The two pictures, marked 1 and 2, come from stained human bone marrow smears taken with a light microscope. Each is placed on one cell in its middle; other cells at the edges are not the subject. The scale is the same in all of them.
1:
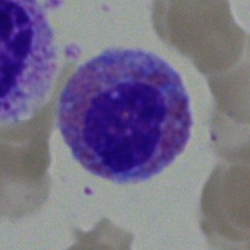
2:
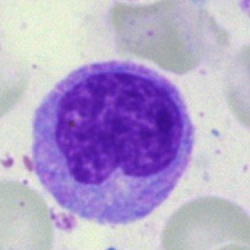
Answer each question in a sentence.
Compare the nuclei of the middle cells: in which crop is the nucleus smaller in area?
It is the nucleus in crop 1; the one in crop 2 has about 2 times its area.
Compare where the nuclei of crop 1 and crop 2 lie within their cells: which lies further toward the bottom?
The nucleus in crop 1 lies further toward the bottom of its cell.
